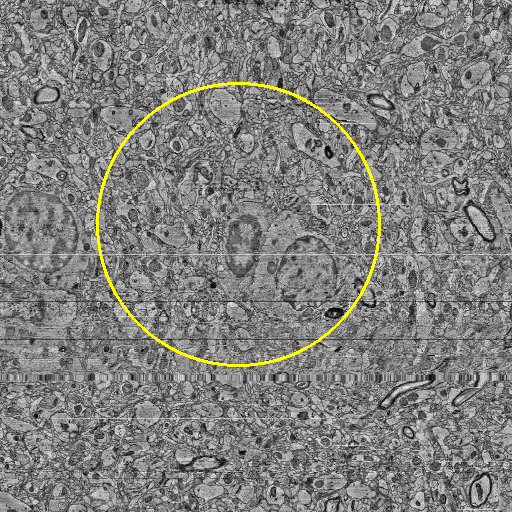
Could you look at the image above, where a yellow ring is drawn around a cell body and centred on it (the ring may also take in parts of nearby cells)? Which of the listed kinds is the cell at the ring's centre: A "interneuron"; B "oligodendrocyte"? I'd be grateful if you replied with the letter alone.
B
